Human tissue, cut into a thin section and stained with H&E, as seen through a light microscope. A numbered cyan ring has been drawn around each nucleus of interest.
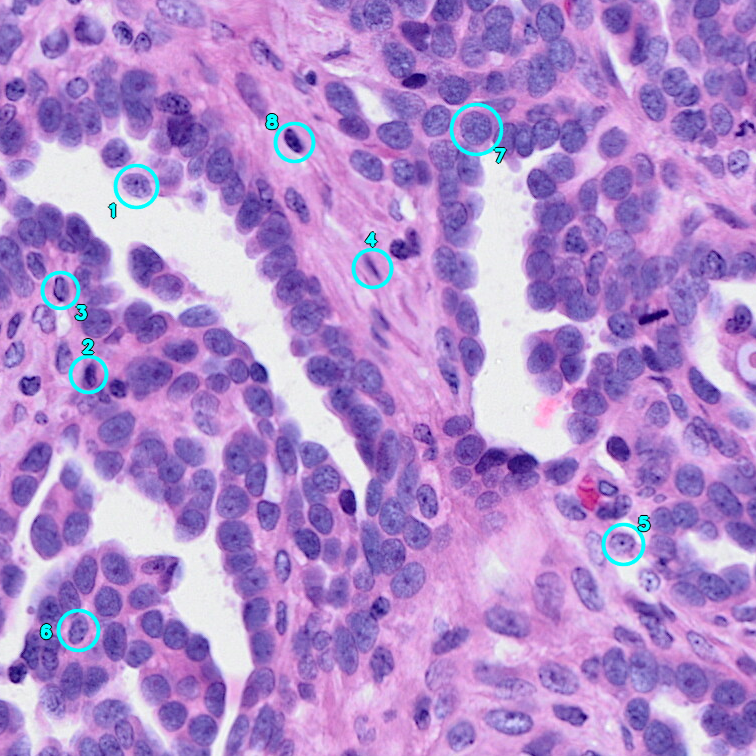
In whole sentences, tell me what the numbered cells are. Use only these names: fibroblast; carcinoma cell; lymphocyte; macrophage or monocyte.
Cell 1 is a macrophage or monocyte, cell 2 is a lymphocyte, cell 3 is a macrophage or monocyte, cell 4 is a fibroblast, cell 5 is a macrophage or monocyte, cell 6 is a macrophage or monocyte, cell 7 is a carcinoma cell and cell 8 is a lymphocyte.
